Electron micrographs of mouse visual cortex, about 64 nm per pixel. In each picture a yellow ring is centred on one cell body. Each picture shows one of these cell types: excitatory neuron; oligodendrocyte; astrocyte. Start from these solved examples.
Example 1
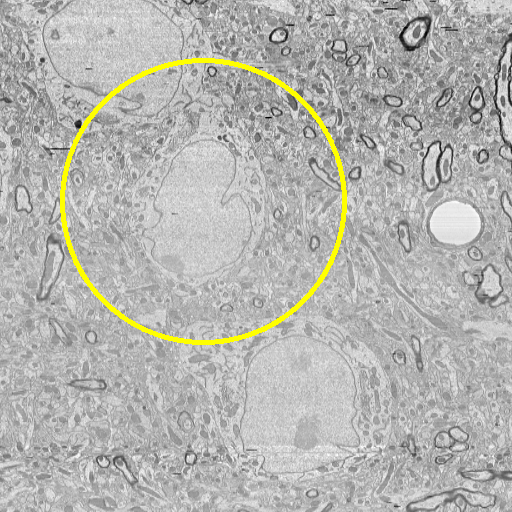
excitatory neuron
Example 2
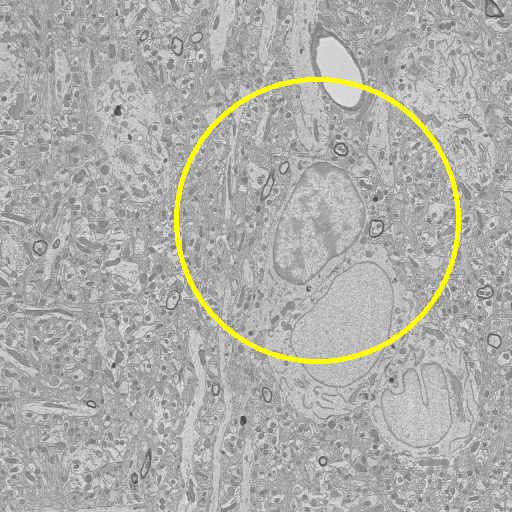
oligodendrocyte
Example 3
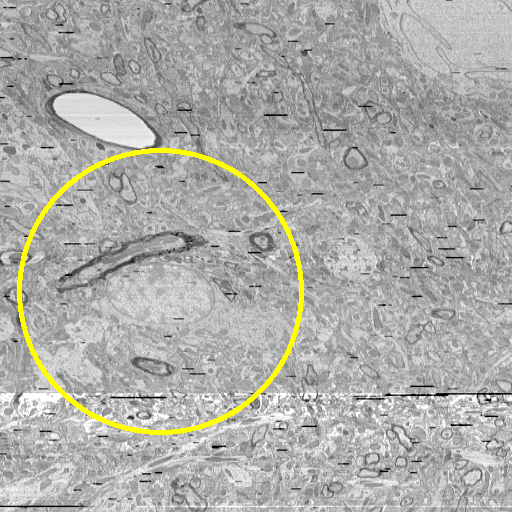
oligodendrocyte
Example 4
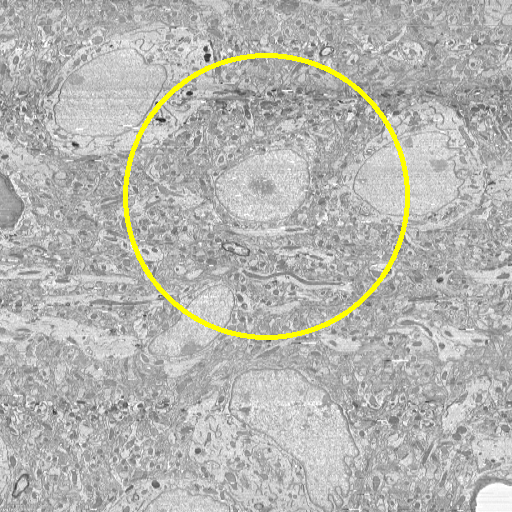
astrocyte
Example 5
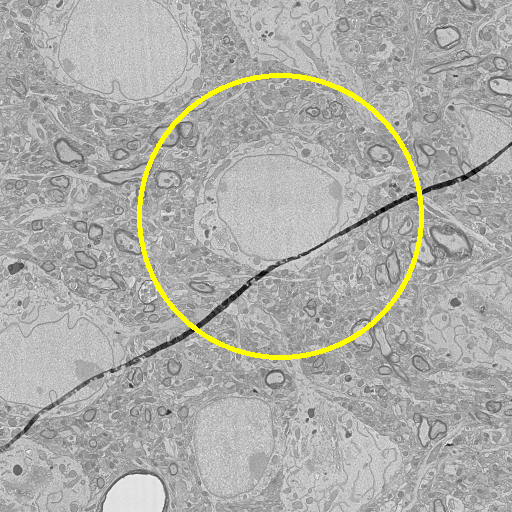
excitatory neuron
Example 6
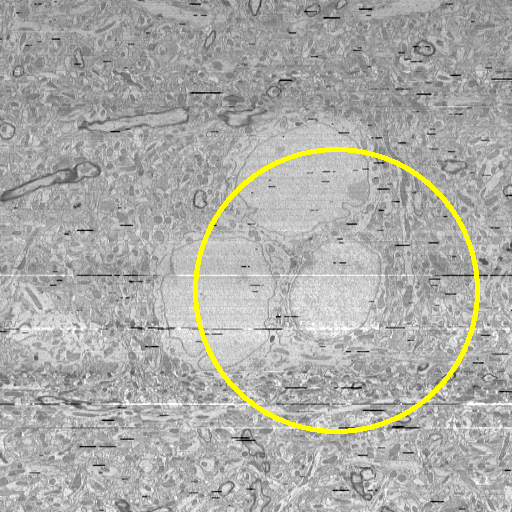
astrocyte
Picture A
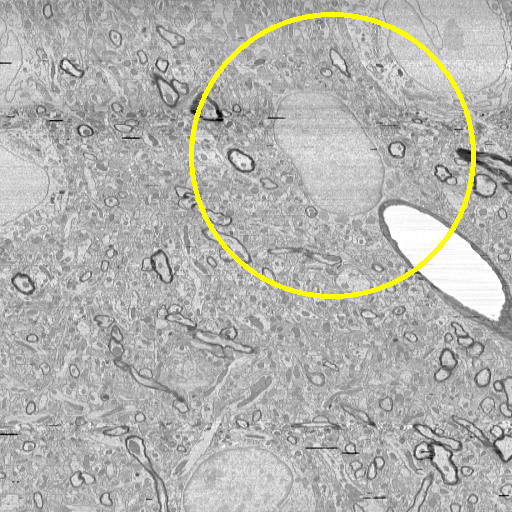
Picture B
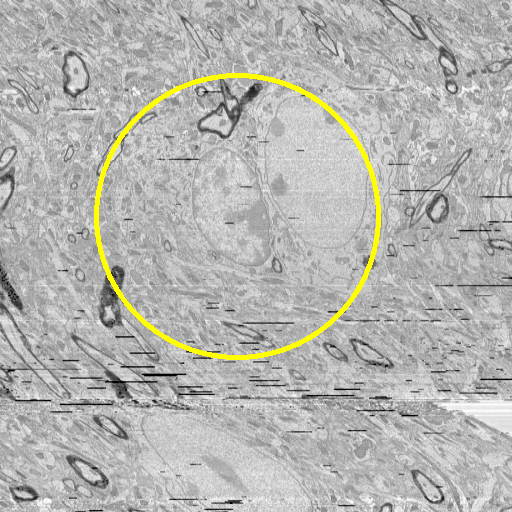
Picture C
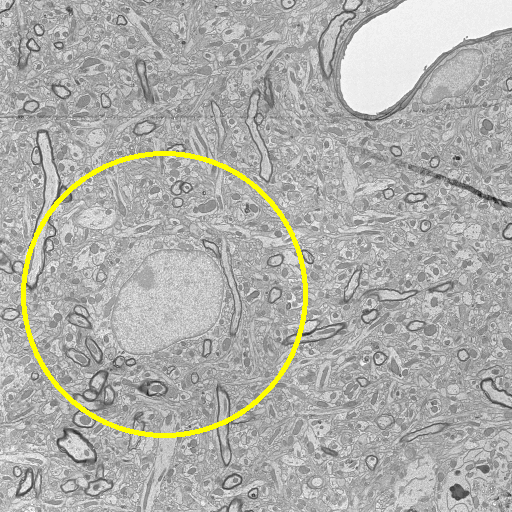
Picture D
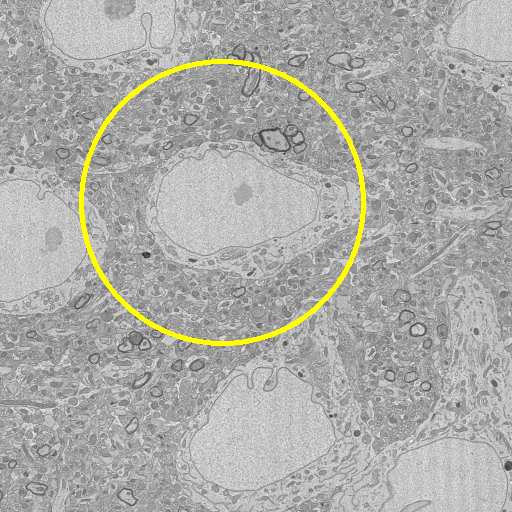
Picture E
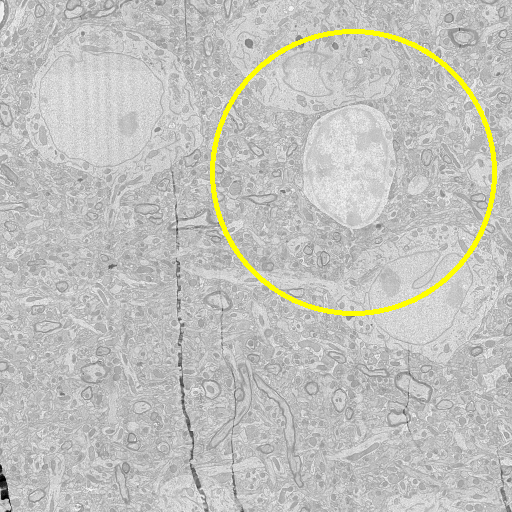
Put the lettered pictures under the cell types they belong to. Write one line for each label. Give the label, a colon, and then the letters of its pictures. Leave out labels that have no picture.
excitatory neuron: D
oligodendrocyte: B, E
astrocyte: A, C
